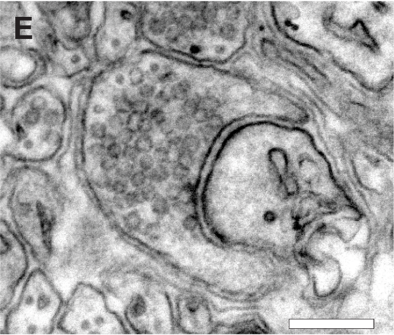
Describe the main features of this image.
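A rounded neural profile fills much of the field, crowded with many small, round, clear vesicles of fairly uniform size. On one side its membrane curves into a crescent that cups a neighbouring pale profile, and along this curved contact the membranes are thickened and dark, marking a synaptic contact. The embraced profile contains a few small dark-edged membrane structures. Thin pale processes lie along the outer surface of the vesicle-filled profile, and smaller cross-sectioned profiles crowd the surroundings. This is a presynaptic terminal in the neuropil, its vesicle cloud facing an active zone with a postsynaptic density opposite.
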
